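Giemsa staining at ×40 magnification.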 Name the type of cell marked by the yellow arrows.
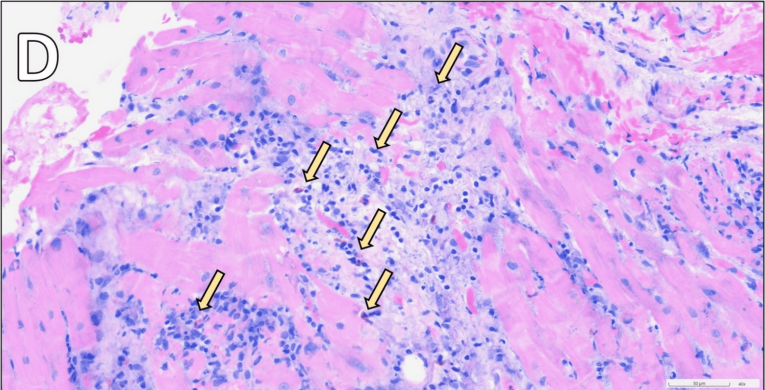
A: eosinophilic granulocytes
